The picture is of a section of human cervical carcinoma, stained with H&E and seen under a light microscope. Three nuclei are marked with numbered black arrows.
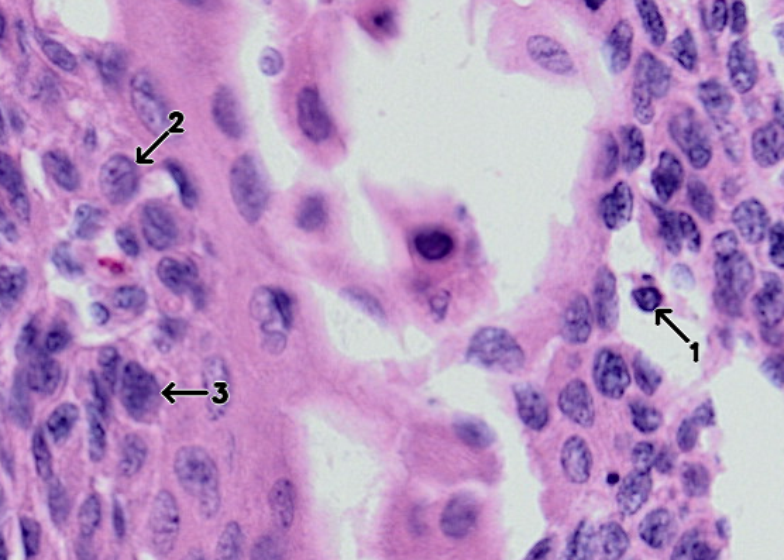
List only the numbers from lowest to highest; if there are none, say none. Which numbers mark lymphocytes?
1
